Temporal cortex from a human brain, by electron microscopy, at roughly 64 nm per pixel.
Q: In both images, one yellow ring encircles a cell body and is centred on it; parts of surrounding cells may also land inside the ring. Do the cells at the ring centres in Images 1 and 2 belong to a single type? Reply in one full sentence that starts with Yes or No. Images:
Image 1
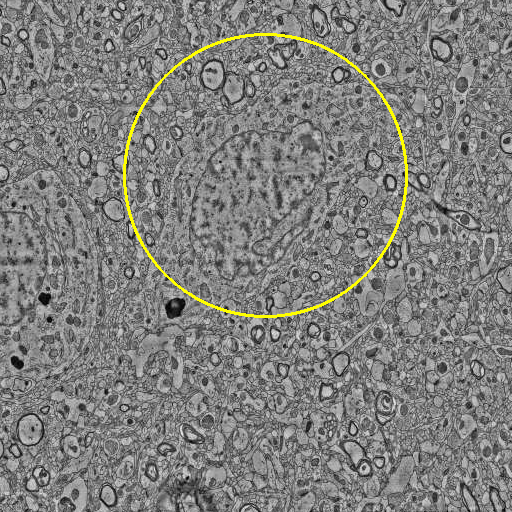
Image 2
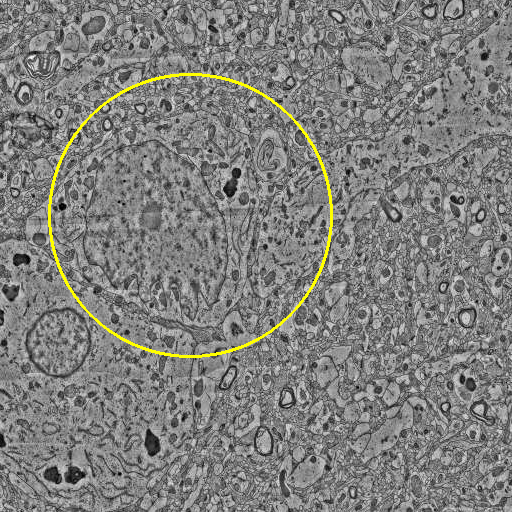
Yes, the cells at the ring centres in Images 1 and 2 are of a single type.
